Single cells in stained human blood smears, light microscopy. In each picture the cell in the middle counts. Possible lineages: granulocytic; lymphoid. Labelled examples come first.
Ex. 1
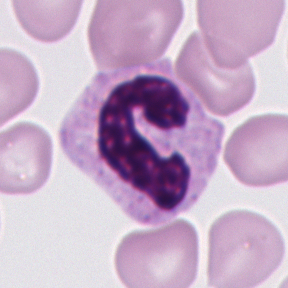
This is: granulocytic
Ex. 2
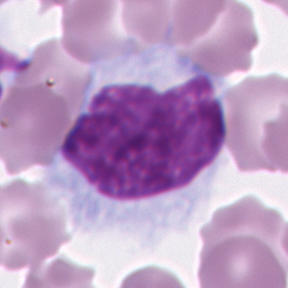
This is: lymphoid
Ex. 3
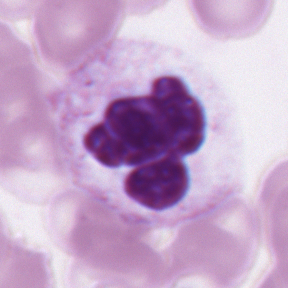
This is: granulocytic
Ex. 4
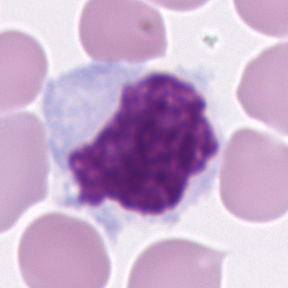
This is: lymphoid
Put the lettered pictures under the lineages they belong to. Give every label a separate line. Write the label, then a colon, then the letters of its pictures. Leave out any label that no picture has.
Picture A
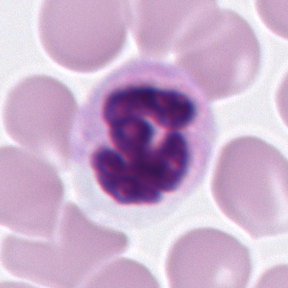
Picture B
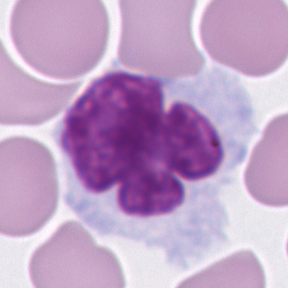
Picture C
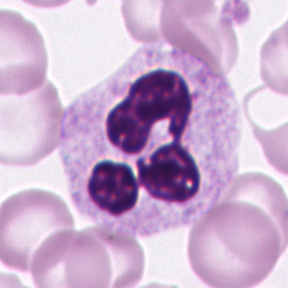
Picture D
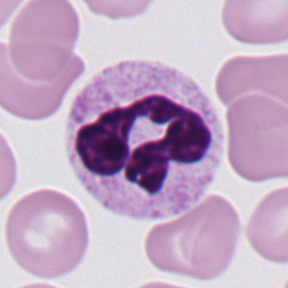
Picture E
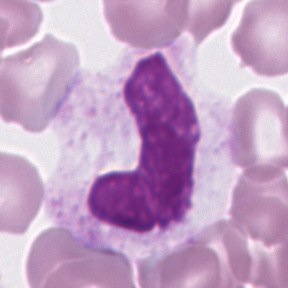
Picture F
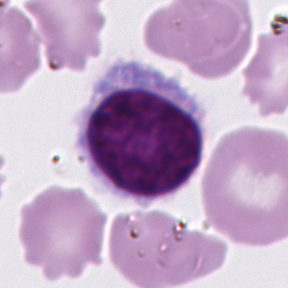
granulocytic: A, C, D, E
lymphoid: B, F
